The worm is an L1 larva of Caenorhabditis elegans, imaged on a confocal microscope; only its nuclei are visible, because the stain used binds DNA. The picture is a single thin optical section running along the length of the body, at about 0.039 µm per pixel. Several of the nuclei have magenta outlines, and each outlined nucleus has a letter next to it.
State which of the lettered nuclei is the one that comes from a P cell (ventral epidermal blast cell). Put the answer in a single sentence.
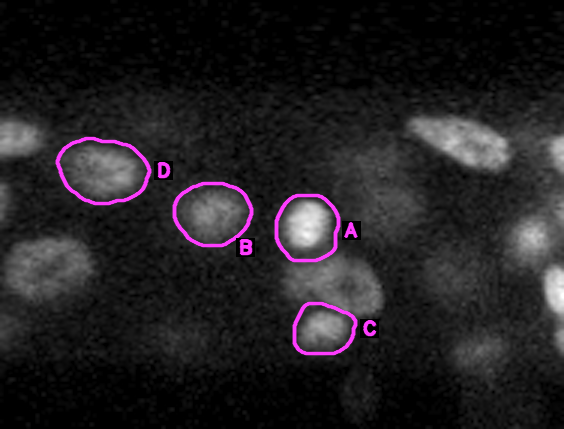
D is from a P cell (ventral epidermal blast cell).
